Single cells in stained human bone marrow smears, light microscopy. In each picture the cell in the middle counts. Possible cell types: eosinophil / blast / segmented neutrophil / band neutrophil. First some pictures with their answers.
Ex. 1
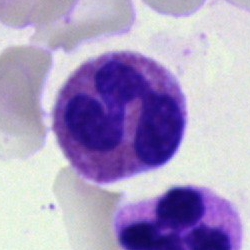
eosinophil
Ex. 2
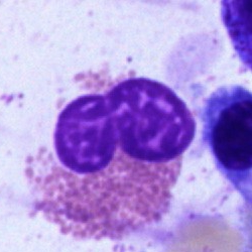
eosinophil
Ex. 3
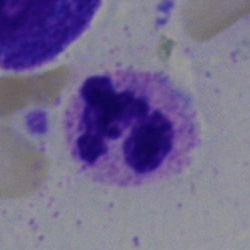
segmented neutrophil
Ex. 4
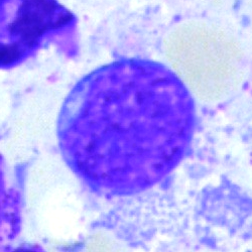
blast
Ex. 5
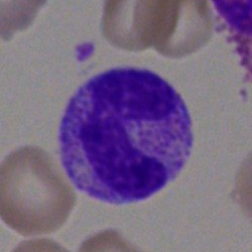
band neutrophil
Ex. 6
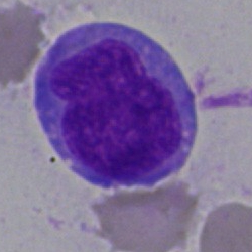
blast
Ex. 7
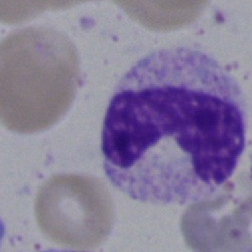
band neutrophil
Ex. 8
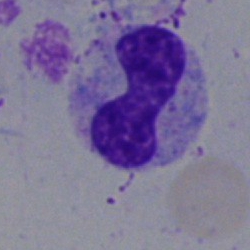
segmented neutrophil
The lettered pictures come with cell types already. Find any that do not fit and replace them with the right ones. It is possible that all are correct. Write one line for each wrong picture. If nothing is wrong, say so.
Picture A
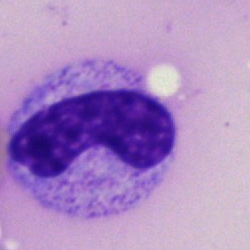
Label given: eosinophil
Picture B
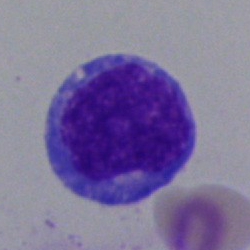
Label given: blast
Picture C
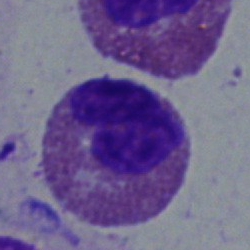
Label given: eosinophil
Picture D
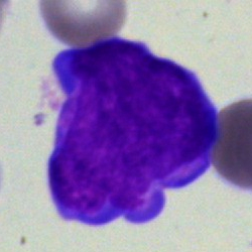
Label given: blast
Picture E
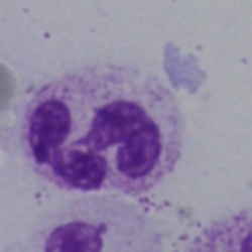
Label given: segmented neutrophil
A: band neutrophil, not eosinophil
